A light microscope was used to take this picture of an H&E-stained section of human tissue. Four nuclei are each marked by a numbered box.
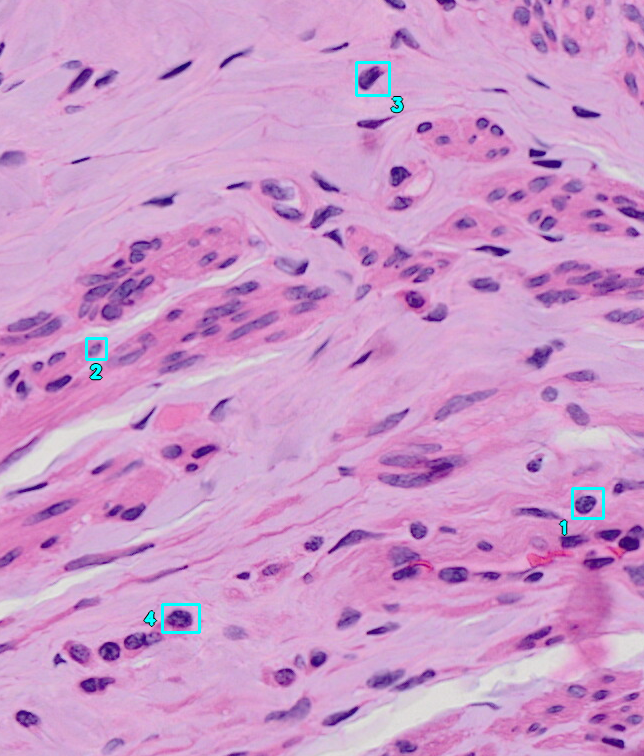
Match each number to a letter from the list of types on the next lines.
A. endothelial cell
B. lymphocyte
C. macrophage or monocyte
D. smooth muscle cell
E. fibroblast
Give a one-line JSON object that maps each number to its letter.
{"1": "B", "2": "D", "3": "E", "4": "B"}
